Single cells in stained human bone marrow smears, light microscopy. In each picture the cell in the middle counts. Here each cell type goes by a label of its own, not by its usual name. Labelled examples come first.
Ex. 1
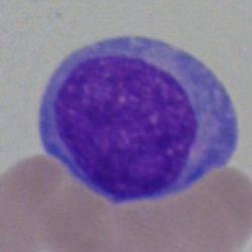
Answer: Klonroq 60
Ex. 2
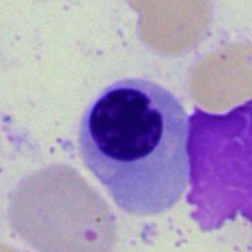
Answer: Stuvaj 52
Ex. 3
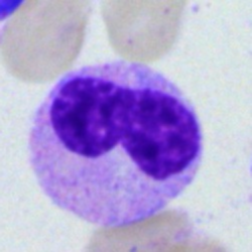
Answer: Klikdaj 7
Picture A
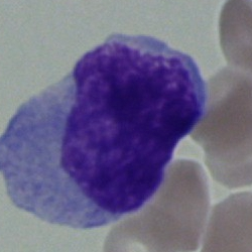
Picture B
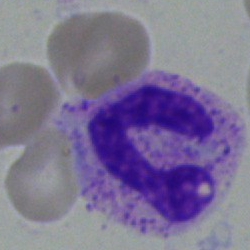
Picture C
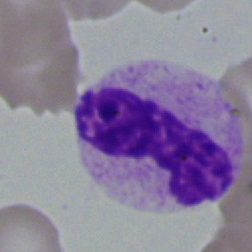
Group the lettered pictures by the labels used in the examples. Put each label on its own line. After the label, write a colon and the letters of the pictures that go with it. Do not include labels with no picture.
Klonroq 60: A
Klikdaj 7: B, C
